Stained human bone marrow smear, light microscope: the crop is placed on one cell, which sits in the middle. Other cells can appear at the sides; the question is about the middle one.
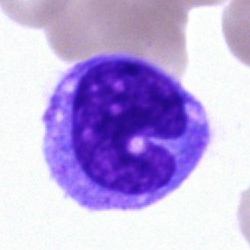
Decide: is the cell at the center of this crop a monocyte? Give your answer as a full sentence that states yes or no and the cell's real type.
Yes, the cell sitting in the center is a monocyte.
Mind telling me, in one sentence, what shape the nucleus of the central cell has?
The nucleus amounts to one compact mass with a round, oval or kidney-shaped outline.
